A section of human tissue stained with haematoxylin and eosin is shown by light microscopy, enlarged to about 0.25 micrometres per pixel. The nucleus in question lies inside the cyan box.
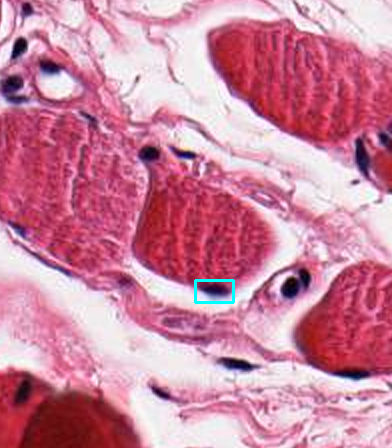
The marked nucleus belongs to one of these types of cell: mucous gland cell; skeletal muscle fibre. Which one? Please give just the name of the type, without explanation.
skeletal muscle fibre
